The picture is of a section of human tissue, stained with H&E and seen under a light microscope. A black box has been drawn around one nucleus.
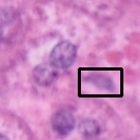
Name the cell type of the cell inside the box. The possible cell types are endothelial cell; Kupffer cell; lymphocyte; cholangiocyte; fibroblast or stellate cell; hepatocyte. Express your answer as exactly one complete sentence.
Placed in its cell category, the cell inside the box is a Kupffer cell.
